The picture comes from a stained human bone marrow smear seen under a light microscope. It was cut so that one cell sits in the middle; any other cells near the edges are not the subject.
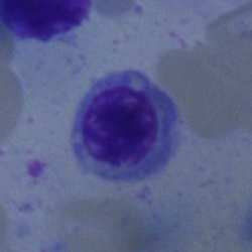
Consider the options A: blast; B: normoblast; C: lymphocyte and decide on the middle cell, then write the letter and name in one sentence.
The correct option, B, names the middle cell as a normoblast.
